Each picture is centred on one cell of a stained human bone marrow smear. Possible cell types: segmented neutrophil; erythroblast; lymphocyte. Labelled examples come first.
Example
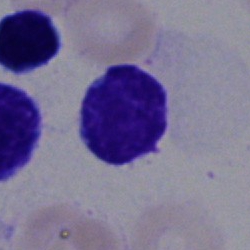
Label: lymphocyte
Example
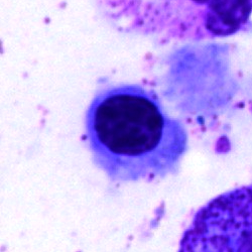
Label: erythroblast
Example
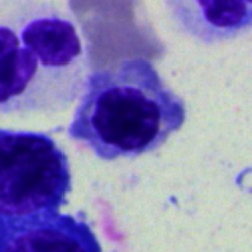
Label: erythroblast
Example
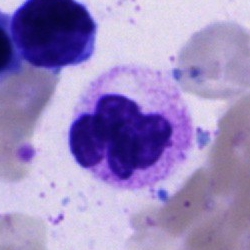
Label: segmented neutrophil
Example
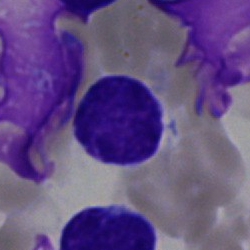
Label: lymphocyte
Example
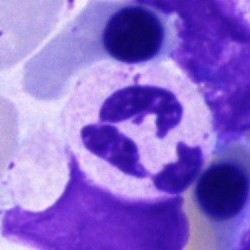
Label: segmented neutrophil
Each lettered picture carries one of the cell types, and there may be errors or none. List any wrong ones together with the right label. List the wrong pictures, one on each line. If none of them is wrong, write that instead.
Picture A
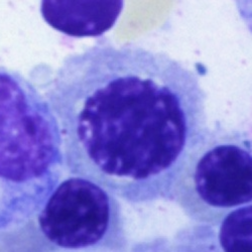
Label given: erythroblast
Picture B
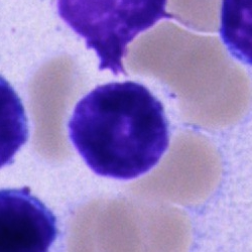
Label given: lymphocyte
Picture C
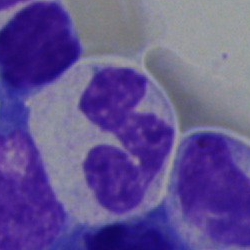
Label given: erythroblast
C: segmented neutrophil, not erythroblast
